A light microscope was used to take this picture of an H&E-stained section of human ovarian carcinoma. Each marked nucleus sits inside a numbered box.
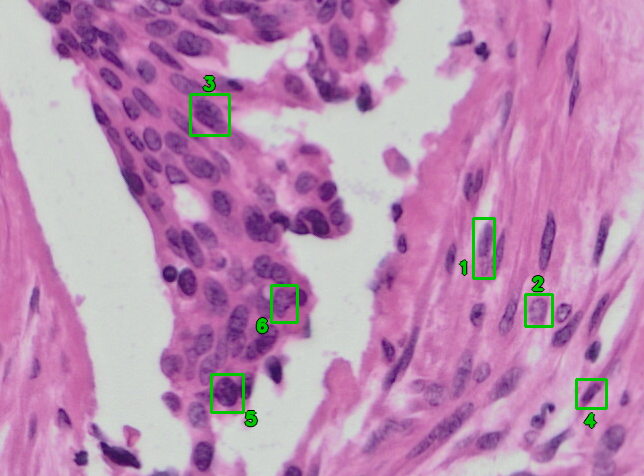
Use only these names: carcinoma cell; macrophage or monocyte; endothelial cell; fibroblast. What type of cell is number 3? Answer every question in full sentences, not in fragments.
The cell referenced by the number 3 is a carcinoma cell in this field.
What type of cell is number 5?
The cell numbered 5 has been identified as a carcinoma cell.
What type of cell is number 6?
The cell marked with the number 6 is a carcinoma cell.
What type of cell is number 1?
The cell identified by the number 1 is a fibroblast.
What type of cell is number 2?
The correct answer for cell 2 is a fibroblast.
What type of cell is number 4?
As for number 4, that cell is a fibroblast.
